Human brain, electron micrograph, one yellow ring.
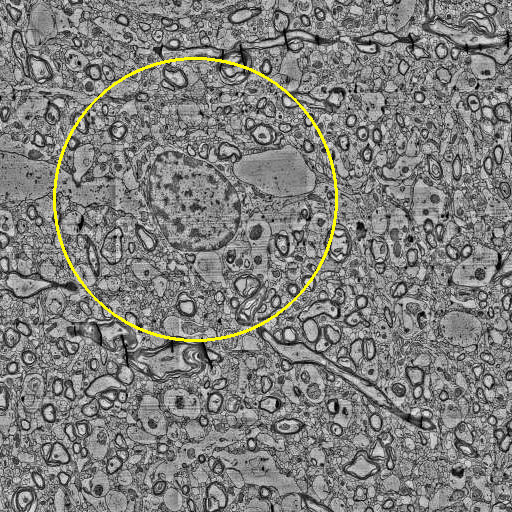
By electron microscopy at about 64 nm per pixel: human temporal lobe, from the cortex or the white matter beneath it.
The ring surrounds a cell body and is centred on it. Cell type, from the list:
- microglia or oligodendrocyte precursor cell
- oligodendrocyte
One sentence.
The yellow ring circles a microglial cell or oligodendrocyte precursor cell.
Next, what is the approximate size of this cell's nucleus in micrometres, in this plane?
The nucleus of the ringed cell is approximately 7 by 5 micrometres in this plane.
